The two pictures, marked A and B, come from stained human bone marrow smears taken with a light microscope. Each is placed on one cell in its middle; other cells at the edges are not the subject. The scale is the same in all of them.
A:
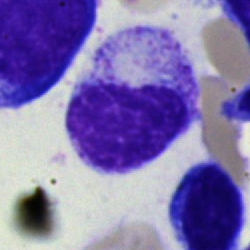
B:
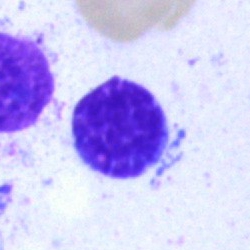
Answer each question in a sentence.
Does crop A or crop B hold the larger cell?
The cell in crop A is larger, with about 1.5 times the area of the one in crop B.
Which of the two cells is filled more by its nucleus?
Of the two, the nucleus in crop B makes up the greater part of its cell.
